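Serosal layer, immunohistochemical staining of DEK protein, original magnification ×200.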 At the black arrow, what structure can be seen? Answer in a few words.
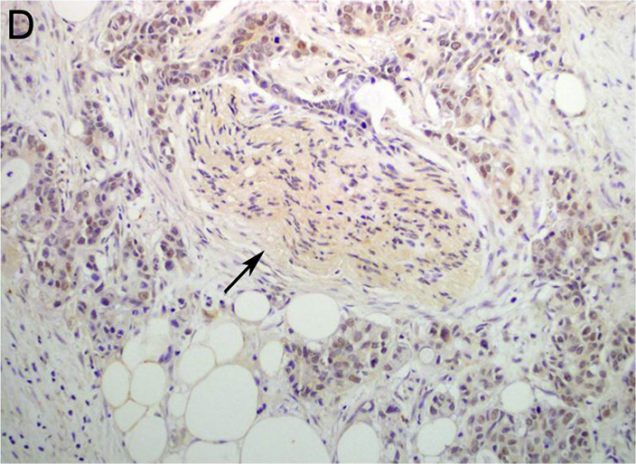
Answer: Nerve.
